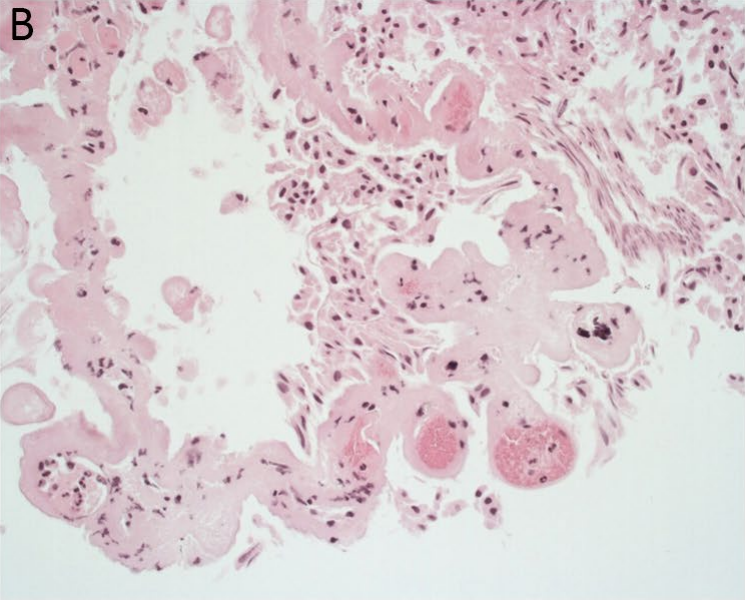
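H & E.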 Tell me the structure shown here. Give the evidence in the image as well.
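Rounded fronds contain central vessels packed with red blood cells. A pale pink stroma surrounds the vessels beneath the lining cells. So: fibrovascular core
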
